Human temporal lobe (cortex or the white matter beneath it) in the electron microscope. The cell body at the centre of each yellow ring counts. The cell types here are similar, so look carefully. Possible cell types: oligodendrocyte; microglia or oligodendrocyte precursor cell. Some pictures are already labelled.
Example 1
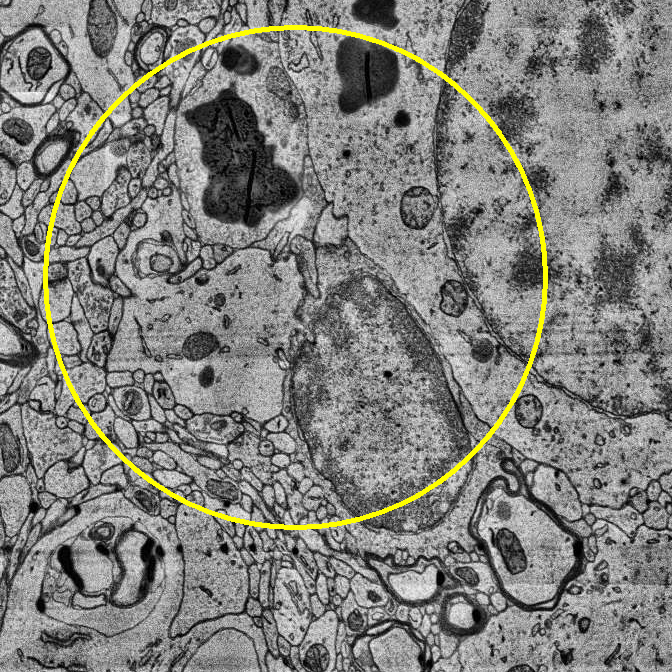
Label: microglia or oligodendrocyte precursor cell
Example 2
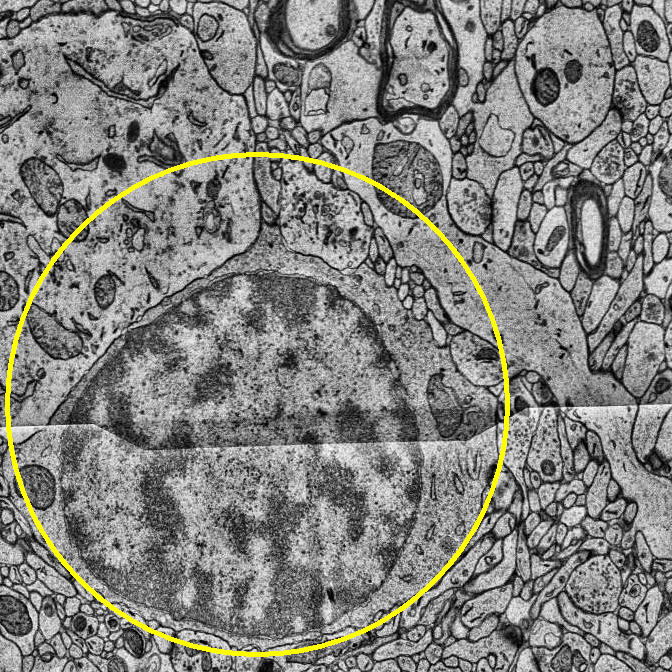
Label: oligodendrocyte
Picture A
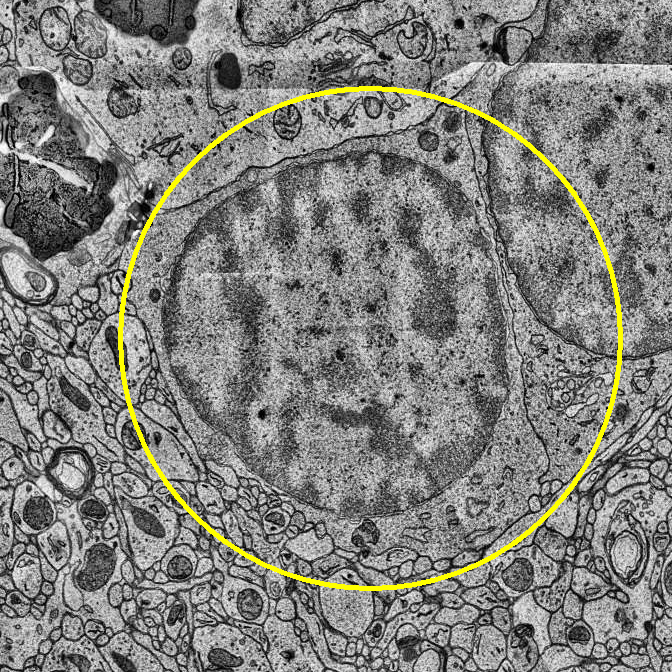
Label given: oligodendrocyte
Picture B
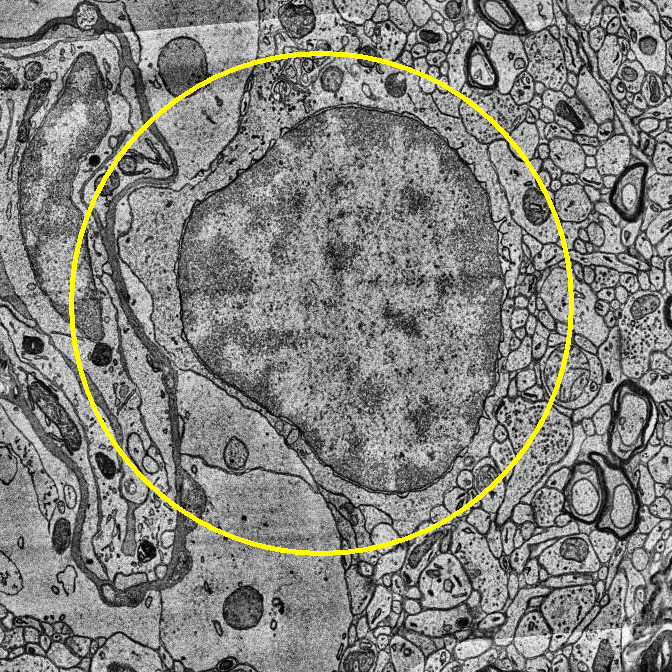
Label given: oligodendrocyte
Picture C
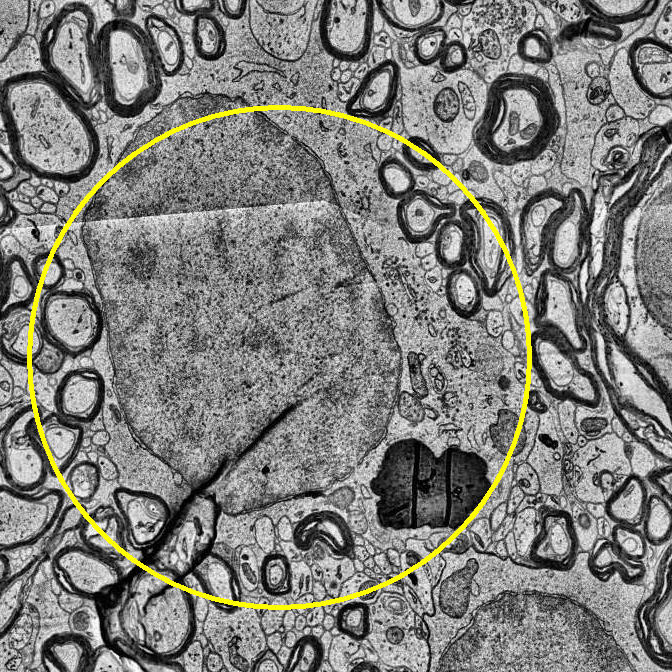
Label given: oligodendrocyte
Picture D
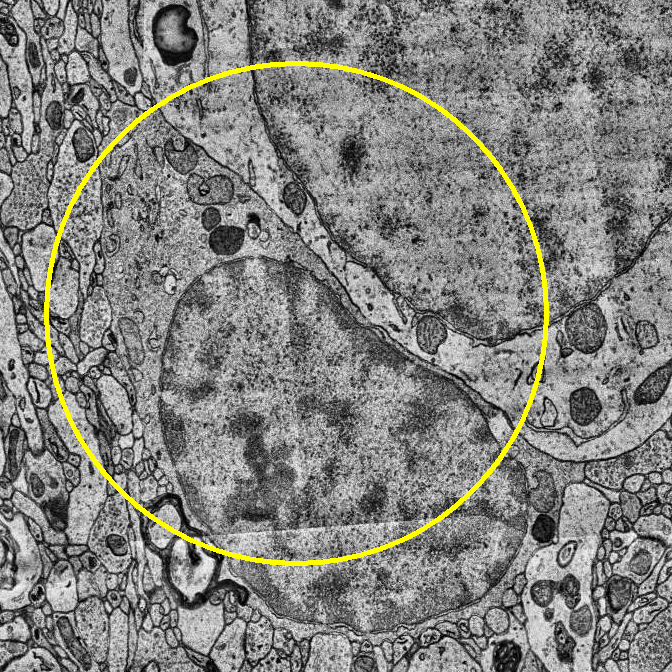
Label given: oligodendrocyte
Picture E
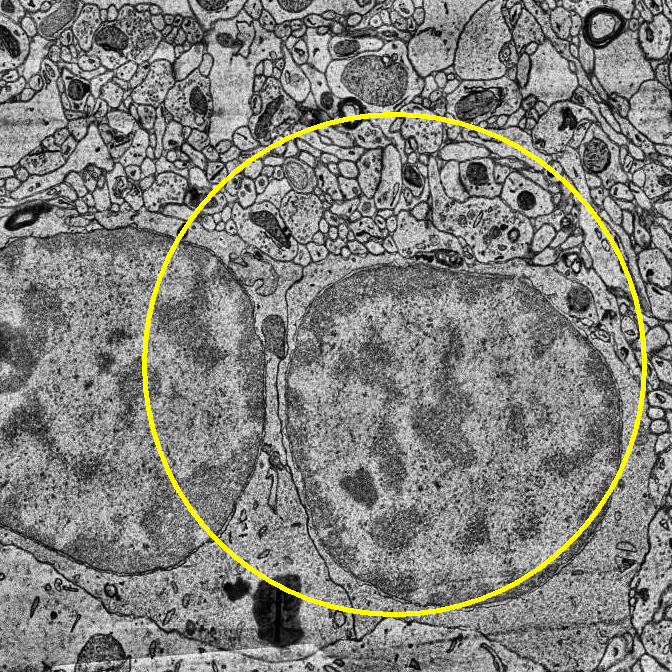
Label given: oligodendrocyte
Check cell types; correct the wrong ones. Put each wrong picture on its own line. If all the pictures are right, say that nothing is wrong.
No label is wrong.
